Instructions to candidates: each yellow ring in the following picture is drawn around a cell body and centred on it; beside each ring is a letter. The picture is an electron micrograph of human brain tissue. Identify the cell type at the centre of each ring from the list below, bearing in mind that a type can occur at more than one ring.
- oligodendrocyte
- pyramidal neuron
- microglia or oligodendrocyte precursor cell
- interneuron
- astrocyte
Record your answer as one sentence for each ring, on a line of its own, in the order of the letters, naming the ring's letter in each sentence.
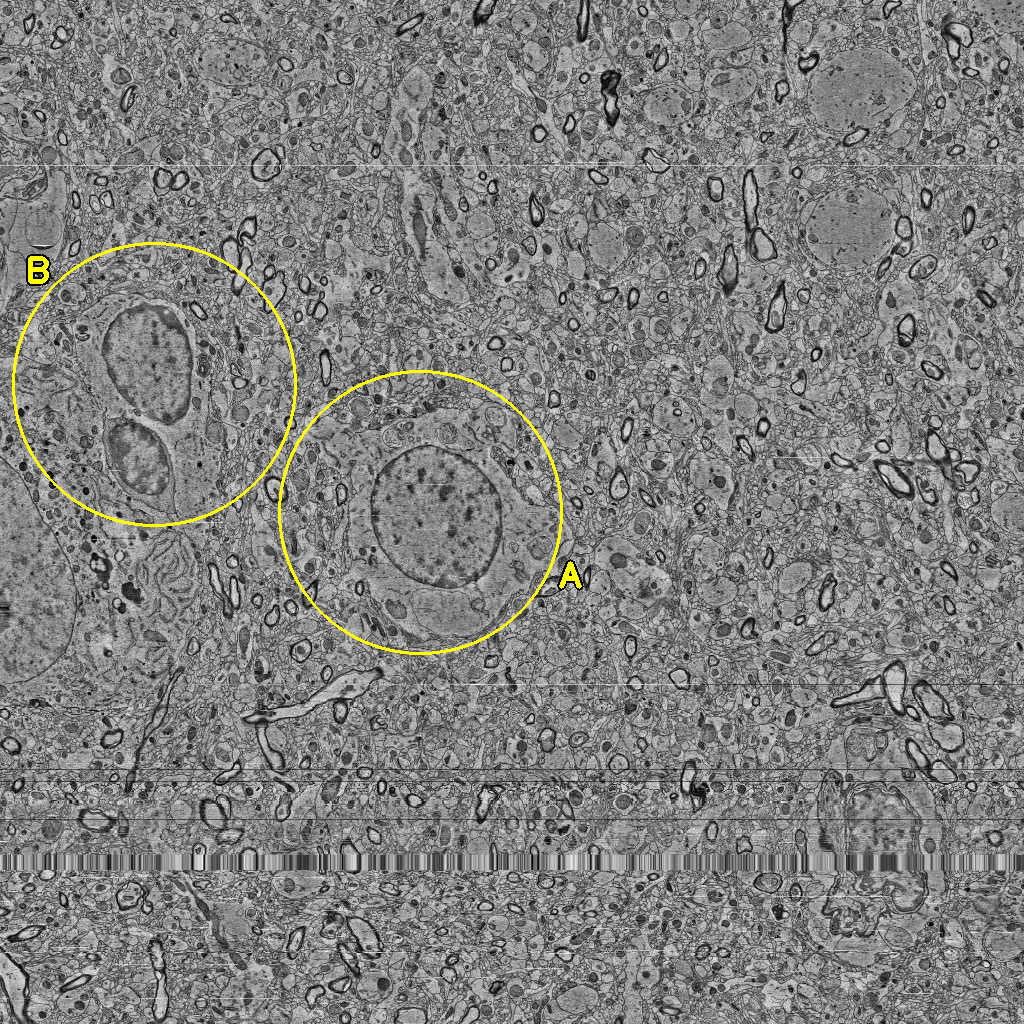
The cell centred in ring A is an astrocyte.
The cell centred in ring B is a microglial cell or oligodendrocyte precursor cell.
